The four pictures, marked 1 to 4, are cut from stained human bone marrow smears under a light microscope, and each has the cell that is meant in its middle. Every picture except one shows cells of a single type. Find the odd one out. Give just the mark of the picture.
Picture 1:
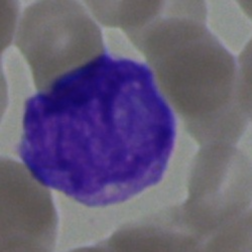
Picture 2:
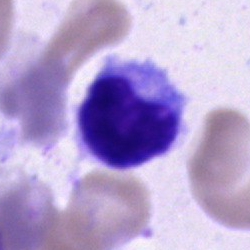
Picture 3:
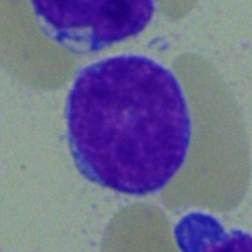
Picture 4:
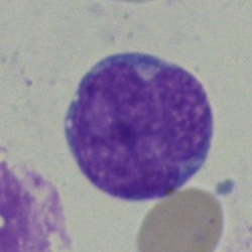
2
